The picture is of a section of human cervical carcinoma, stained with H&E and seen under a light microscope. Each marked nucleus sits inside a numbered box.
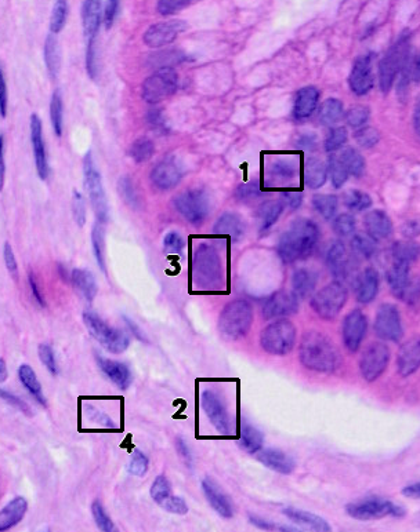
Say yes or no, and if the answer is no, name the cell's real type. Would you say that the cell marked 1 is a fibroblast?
No, it is a secretory epithelial cell.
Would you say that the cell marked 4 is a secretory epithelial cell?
No, it is a fibroblast.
